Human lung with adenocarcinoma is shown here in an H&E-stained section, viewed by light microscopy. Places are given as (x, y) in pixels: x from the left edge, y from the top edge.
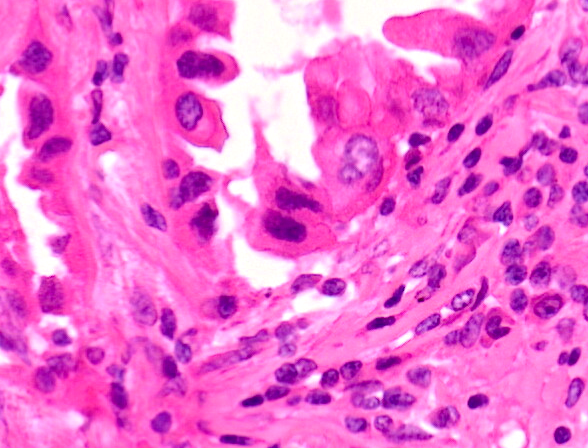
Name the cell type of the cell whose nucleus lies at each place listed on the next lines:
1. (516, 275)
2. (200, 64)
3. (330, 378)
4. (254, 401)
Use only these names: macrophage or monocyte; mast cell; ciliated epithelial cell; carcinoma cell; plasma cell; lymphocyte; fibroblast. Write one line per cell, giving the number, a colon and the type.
1: lymphocyte
2: carcinoma cell
3: lymphocyte
4: lymphocyte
